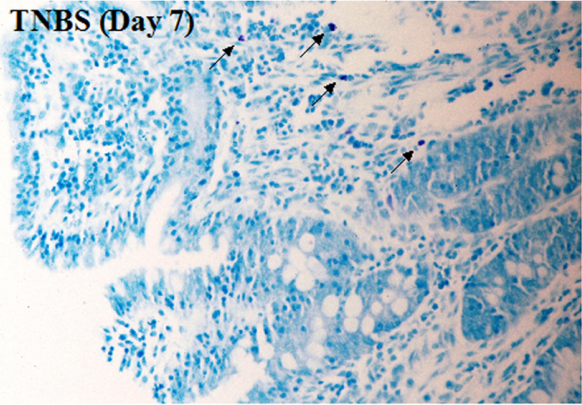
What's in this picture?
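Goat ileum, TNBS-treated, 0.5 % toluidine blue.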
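This is the mucosa of the small intestine stained blue, with crypts and villi lined by columnar epithelium, in which pale rounded goblet cells stand out. In the loose connective tissue between them lie a few small round cells stained dark purple, distinct from the light blue nuclei around them; these are mast cells.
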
